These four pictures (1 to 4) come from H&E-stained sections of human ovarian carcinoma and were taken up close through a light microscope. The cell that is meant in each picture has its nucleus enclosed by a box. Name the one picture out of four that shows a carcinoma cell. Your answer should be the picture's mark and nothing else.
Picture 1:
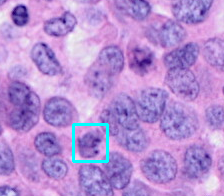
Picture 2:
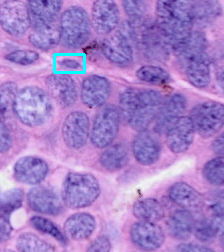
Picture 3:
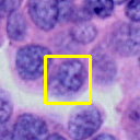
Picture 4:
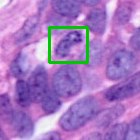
3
